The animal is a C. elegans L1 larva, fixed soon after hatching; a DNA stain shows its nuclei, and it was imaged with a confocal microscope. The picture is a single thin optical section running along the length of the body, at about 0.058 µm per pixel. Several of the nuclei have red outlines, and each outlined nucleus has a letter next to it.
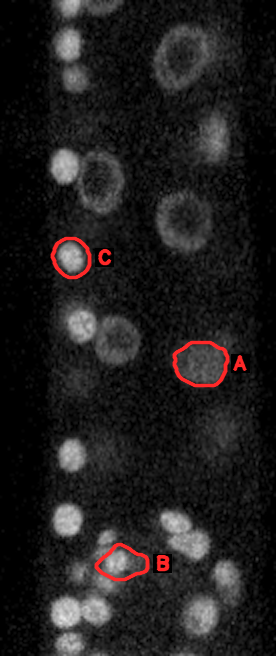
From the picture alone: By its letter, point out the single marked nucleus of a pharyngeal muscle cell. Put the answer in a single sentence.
B is from a pharyngeal muscle cell.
